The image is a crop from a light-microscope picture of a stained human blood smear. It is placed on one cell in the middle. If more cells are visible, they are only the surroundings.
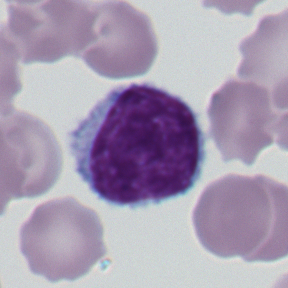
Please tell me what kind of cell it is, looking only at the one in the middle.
lymphocyte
